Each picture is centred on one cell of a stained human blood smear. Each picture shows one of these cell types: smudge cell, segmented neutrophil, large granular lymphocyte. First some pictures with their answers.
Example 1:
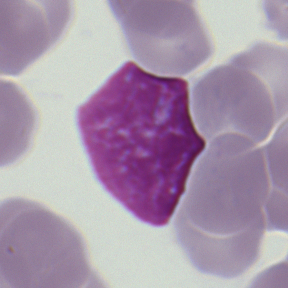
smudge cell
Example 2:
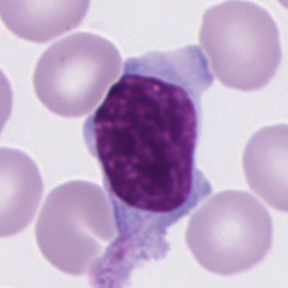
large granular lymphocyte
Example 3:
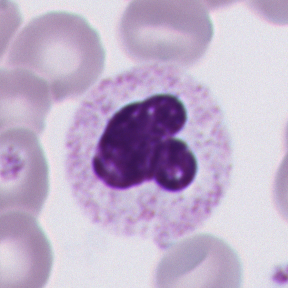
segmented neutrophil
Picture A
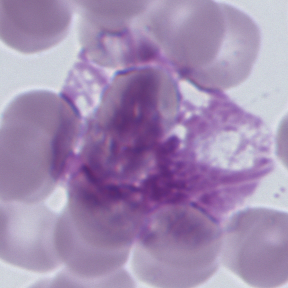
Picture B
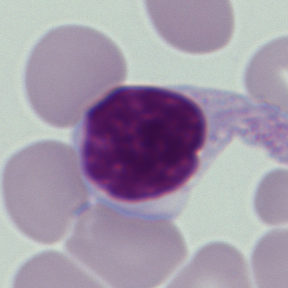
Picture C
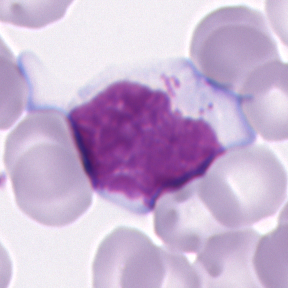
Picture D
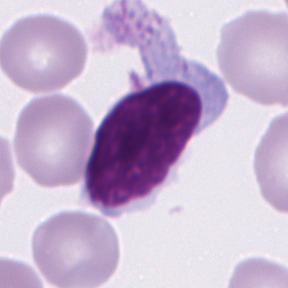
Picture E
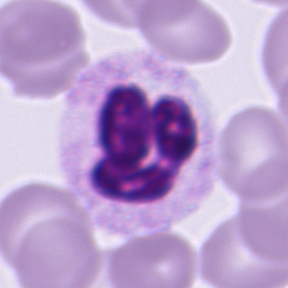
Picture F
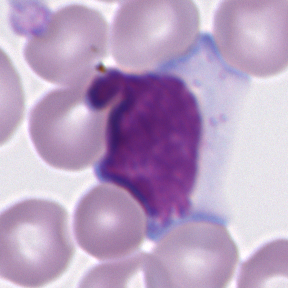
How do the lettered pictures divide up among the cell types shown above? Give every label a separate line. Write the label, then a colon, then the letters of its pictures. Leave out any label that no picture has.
smudge cell: A
segmented neutrophil: E
large granular lymphocyte: B, C, D, F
